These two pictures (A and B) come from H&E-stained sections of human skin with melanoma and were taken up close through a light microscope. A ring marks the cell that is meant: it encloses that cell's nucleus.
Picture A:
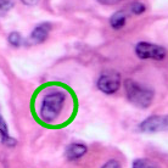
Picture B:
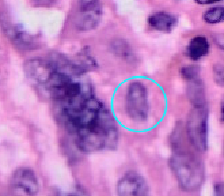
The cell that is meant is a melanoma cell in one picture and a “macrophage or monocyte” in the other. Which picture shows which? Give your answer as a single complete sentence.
It is picture A that shows a “macrophage or monocyte”, and picture B that shows a melanoma cell.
